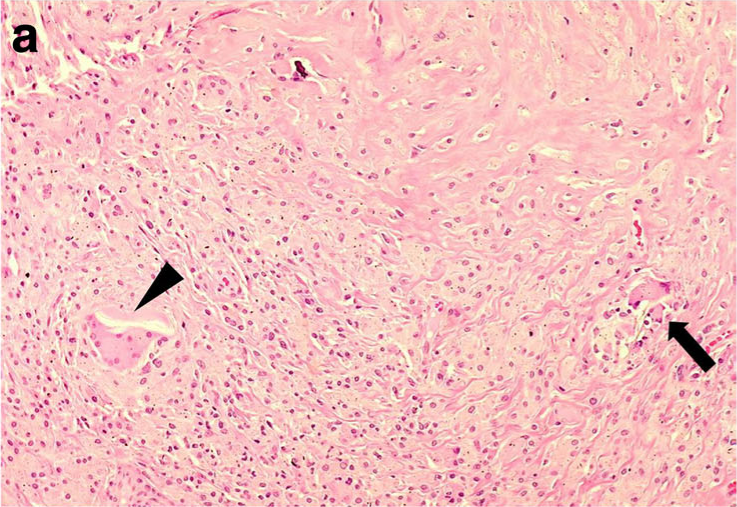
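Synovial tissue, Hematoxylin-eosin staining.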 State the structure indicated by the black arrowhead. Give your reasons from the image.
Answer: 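Polyethylene particles. An elongated, pale, glassy shard-like cleft. Pink multinucleated cell material wrapped around the shard.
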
